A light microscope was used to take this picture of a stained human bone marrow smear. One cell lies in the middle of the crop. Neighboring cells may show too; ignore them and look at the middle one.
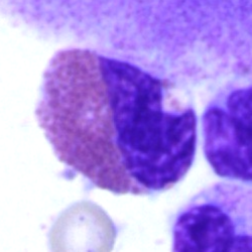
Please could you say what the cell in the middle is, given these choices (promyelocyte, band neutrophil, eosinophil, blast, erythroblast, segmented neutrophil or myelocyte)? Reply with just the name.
eosinophil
